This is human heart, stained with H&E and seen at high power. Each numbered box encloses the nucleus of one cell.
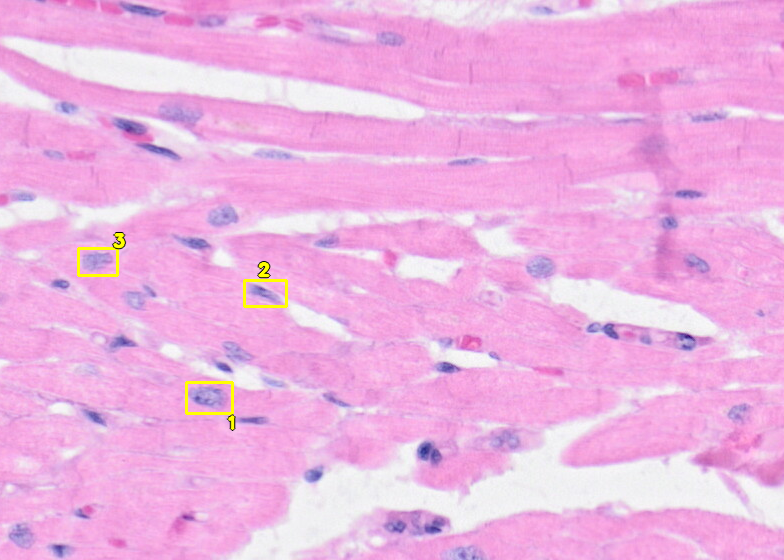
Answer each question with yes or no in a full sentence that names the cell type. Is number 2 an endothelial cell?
Yes, cell number 2 is classified as an endothelial cell.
